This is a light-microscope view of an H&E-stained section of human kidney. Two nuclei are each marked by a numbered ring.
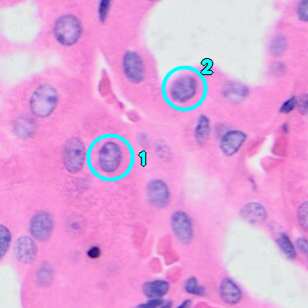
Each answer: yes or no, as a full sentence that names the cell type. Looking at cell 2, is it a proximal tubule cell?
No, the cell with the number 2 is a loop of Henle or distal tubule cell, not a proximal tubule cell.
